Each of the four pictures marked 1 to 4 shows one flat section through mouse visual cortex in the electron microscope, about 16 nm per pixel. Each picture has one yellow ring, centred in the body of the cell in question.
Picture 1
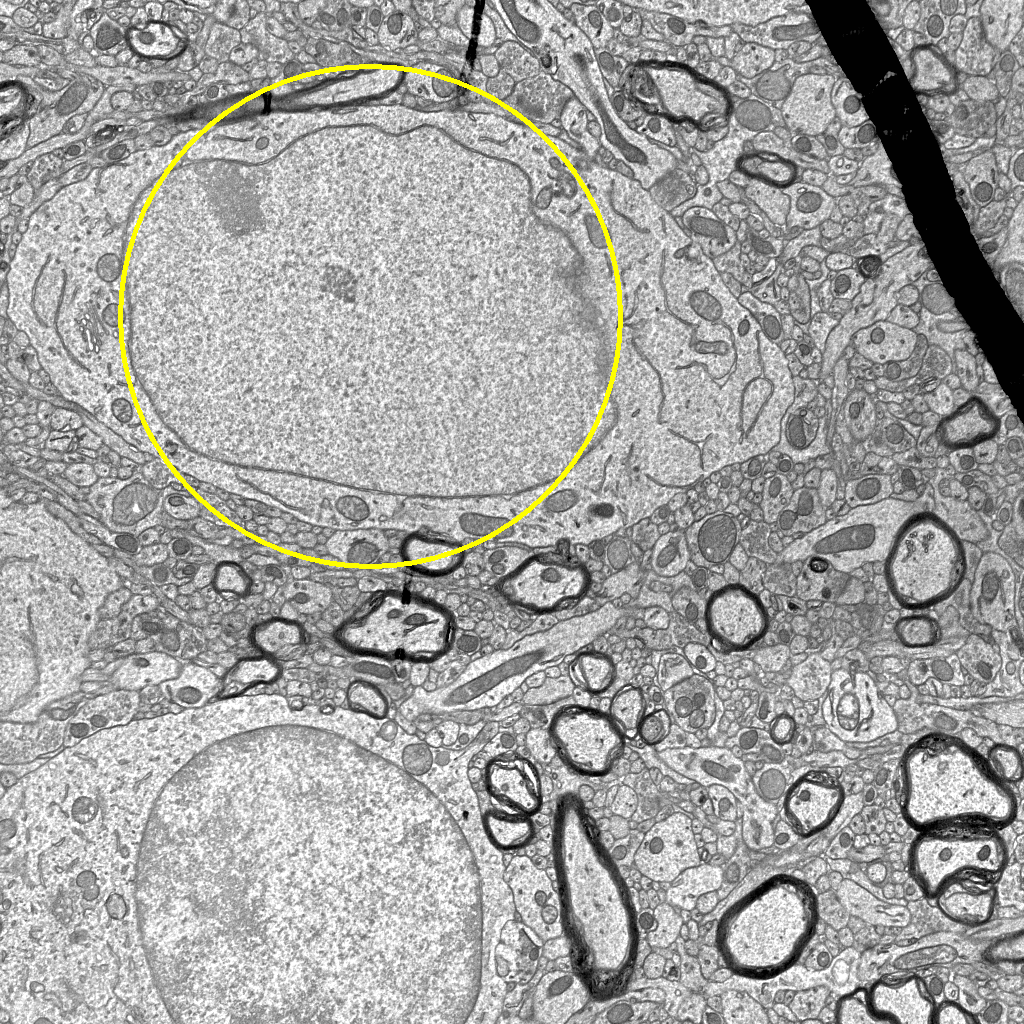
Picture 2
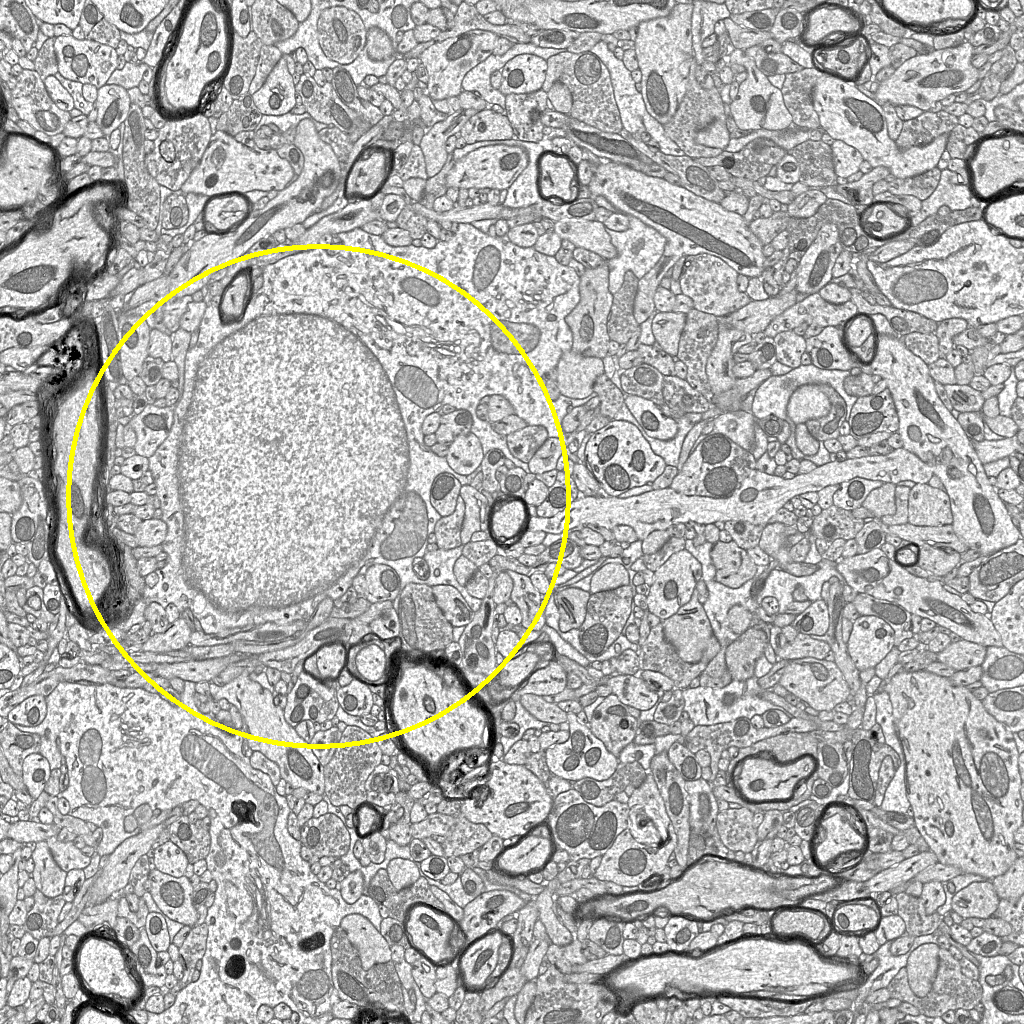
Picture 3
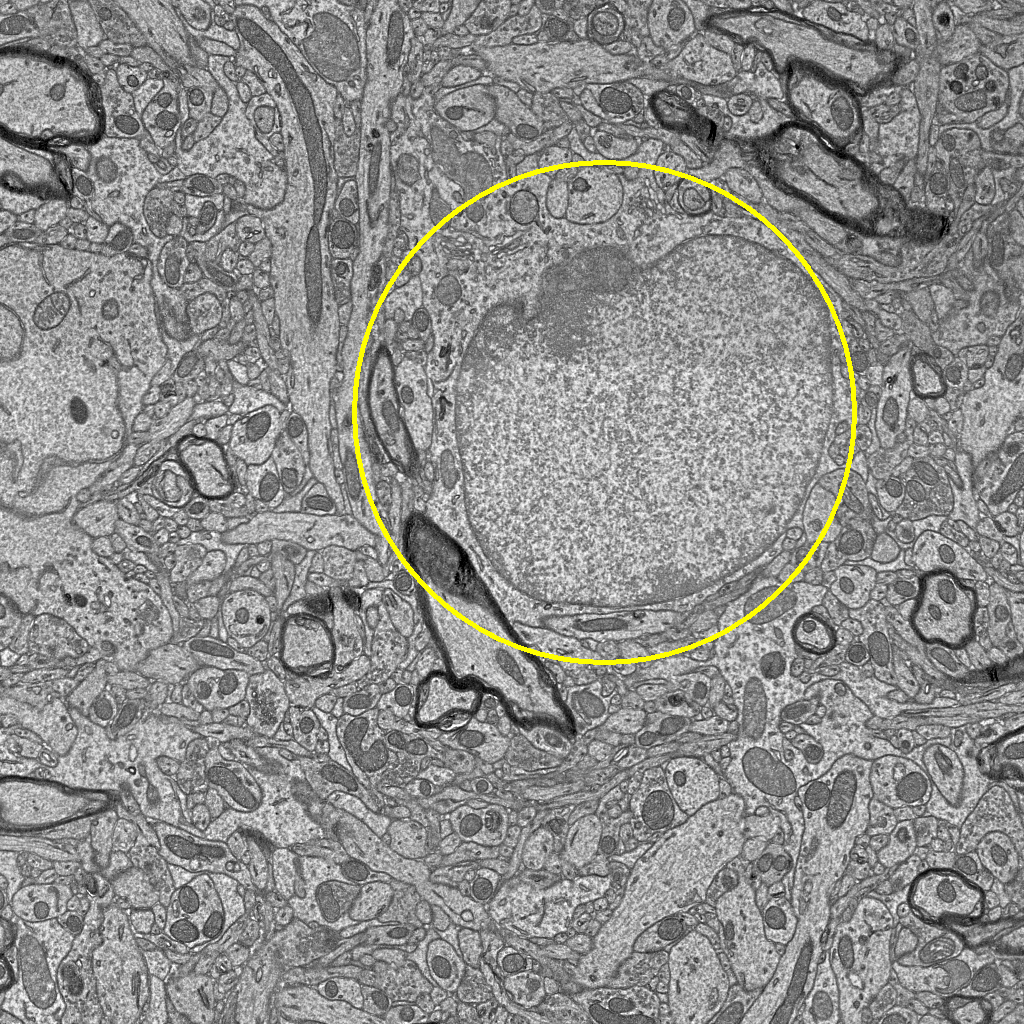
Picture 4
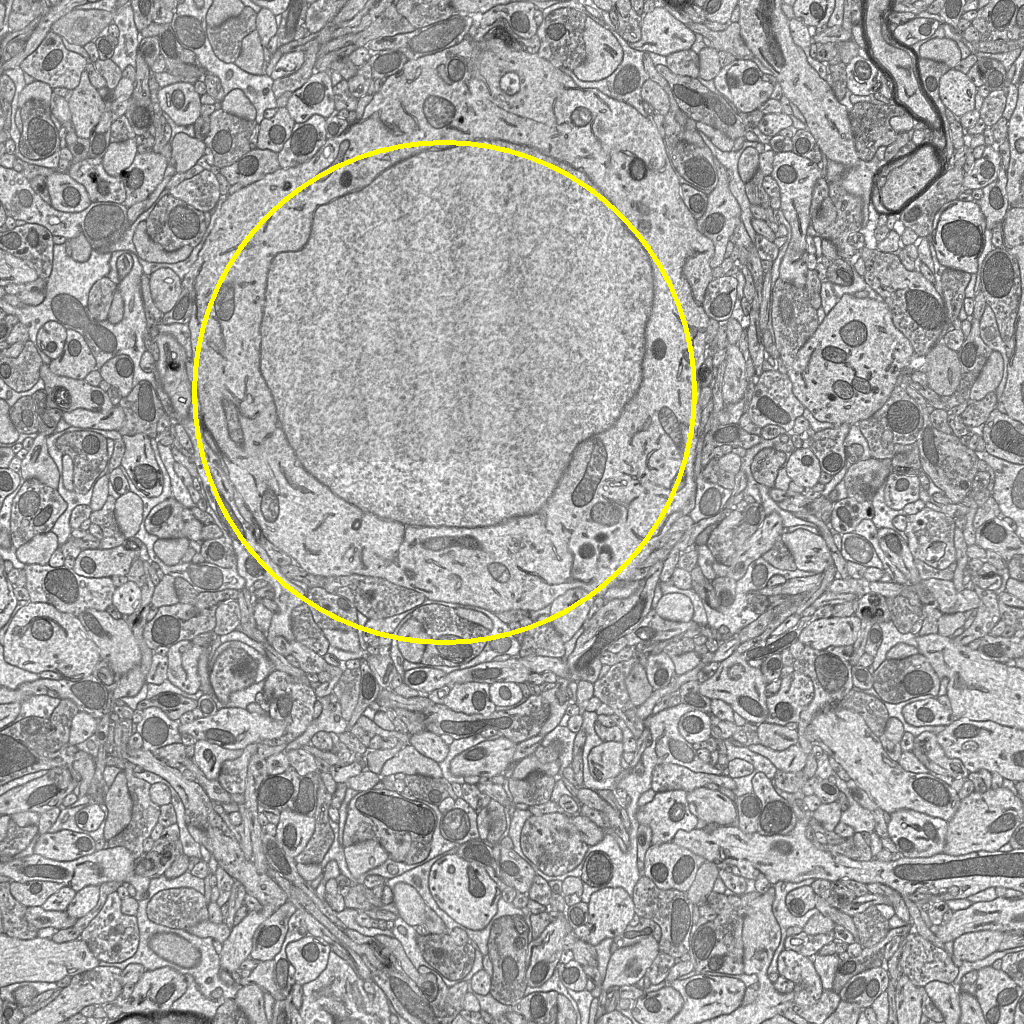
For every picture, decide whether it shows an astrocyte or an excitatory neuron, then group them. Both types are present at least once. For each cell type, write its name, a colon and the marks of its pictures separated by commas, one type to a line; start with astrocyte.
astrocyte: 2, 3
excitatory neuron: 1, 4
